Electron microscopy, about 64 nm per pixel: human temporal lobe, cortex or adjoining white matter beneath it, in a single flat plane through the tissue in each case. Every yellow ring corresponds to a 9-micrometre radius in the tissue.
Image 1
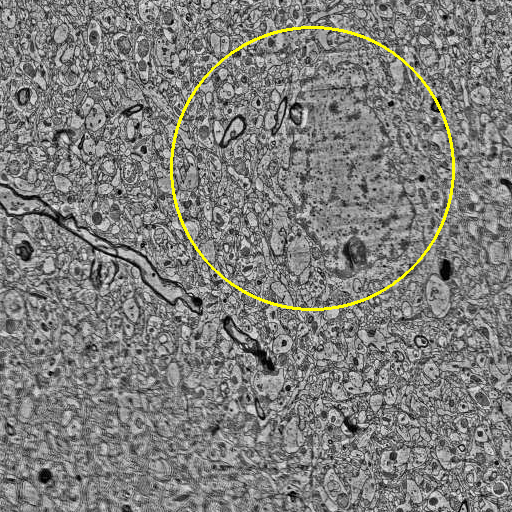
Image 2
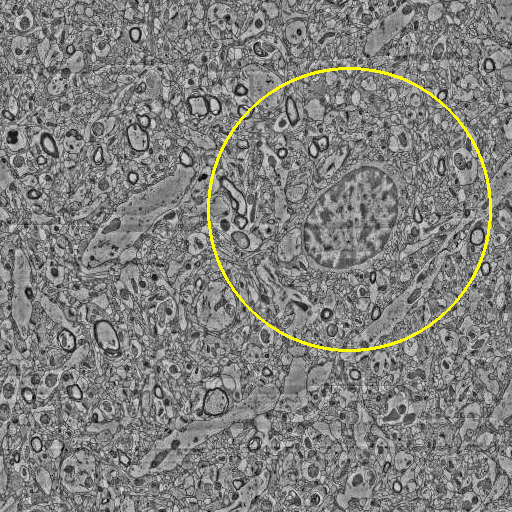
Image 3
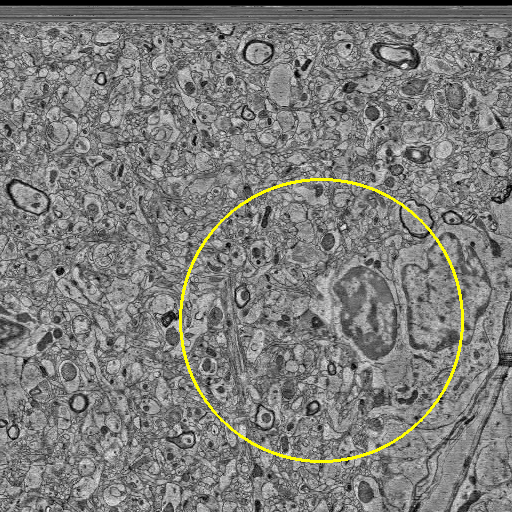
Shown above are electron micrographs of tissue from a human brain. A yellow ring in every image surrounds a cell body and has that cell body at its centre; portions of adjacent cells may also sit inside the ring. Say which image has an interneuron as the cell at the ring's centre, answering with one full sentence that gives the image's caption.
The image whose ring is centred on the requested cell is Image 1.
